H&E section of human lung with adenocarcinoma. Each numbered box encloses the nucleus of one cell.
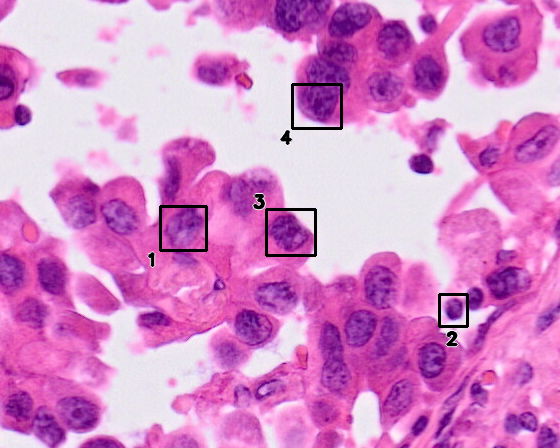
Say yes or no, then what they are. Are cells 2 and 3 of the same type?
No, here cell 2 is a lymphocyte, whereas cell 3 is a carcinoma cell.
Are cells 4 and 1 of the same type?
Yes, cell 4 and cell 1 are both carcinoma cells.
